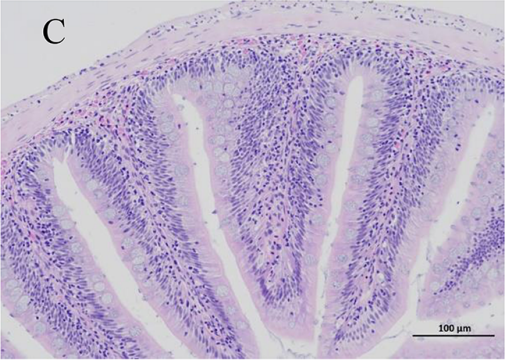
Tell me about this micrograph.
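Several long, slender folds of intestinal lining rise from a thin pink muscular wall at the top and project downward into narrow clear lumens. Each fold is covered by a tall columnar epithelium whose elongated purple nuclei crowd in a band near the base of the cells, with scattered round pale goblet-like cells among them. A narrow core of connective tissue runs up the middle of each fold. The folds are separate, evenly spaced and their surfaces are smooth and intact.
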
